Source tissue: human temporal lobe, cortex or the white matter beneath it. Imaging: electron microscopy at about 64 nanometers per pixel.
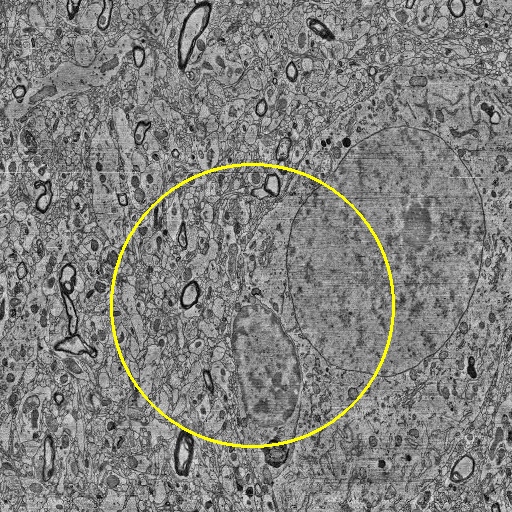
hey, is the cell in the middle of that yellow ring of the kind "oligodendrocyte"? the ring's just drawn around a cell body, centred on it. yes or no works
yes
